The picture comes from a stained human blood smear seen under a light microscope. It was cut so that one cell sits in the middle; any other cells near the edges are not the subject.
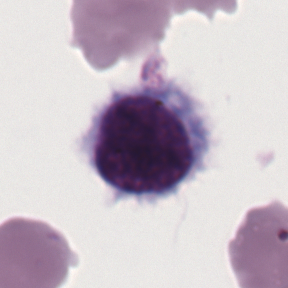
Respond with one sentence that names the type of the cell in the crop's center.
As for the central cell, it is a hairy cell.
